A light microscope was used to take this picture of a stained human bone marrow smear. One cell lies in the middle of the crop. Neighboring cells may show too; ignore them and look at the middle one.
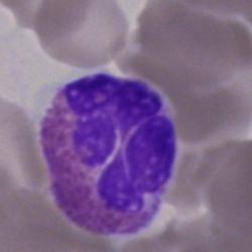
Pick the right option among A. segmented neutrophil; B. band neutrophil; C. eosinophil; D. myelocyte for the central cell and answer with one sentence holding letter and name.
The cell in the middle is an eosinophil, so option C is correct.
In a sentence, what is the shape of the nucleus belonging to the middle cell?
The nucleus is segmented, with two or more lobes present.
